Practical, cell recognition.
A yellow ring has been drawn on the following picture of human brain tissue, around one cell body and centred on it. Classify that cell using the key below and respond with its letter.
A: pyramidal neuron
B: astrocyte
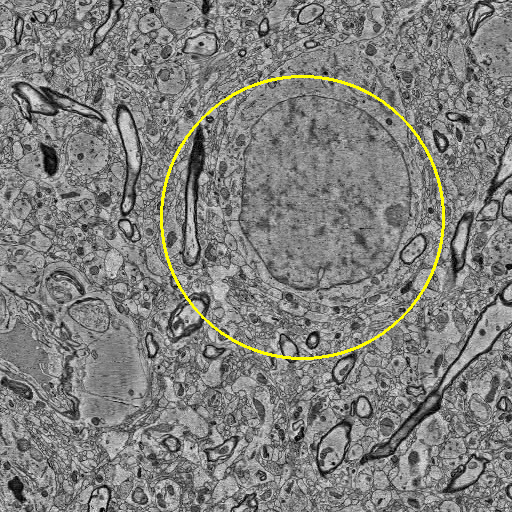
A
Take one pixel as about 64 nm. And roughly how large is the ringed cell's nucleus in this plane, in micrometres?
Roughly 12 micrometres across, measured in this plane.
